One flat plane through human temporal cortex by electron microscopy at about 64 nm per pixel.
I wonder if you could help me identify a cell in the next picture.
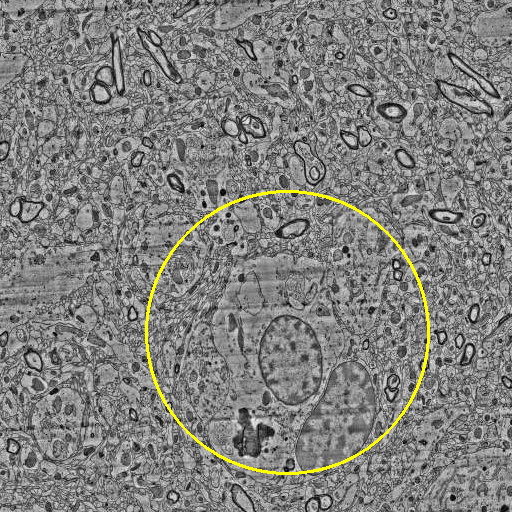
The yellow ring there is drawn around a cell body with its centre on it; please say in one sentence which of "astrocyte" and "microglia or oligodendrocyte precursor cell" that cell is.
The yellow ring is centred on an astrocyte.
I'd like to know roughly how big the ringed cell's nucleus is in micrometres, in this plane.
In this plane, about 6 micrometres in length and 4 in width.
